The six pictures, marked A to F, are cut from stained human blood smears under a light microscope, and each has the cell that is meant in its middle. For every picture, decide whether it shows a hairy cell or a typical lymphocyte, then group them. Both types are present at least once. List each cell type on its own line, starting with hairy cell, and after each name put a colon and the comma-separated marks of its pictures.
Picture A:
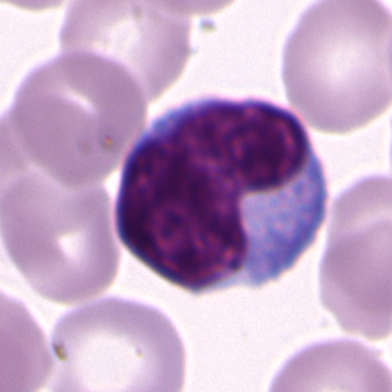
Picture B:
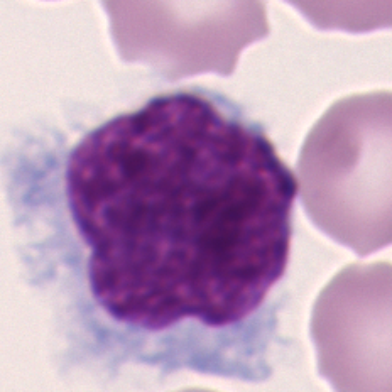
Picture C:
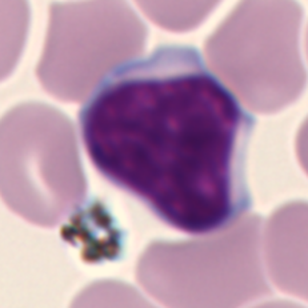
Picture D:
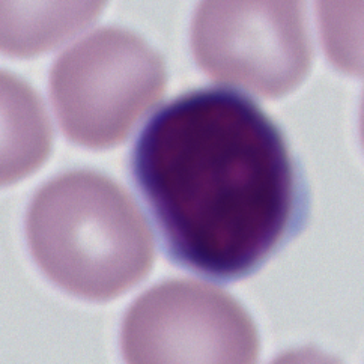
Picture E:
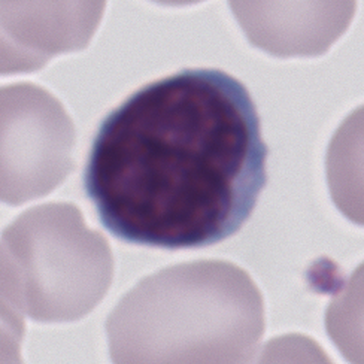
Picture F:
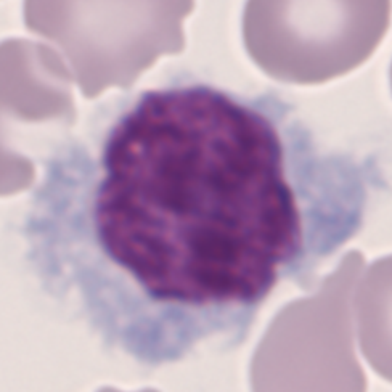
hairy cell: B, F
typical lymphocyte: A, C, D, E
